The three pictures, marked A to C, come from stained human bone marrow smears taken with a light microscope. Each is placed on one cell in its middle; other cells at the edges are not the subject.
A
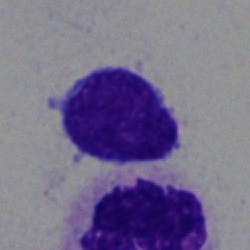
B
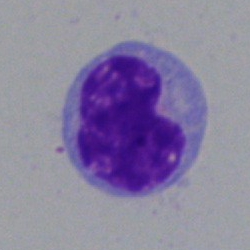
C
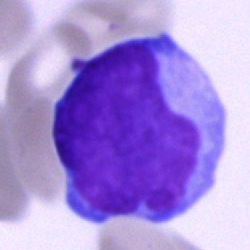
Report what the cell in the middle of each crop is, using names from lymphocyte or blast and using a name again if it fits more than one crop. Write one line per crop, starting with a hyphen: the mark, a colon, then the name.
- A: lymphocyte
- B: lymphocyte
- C: blast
